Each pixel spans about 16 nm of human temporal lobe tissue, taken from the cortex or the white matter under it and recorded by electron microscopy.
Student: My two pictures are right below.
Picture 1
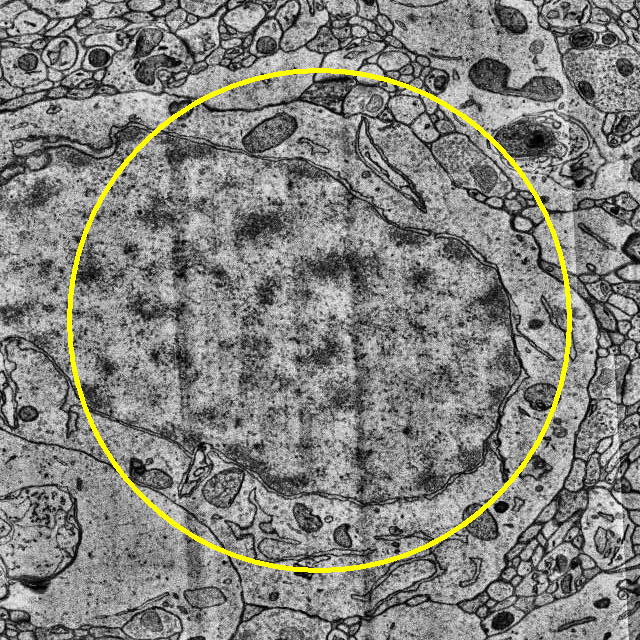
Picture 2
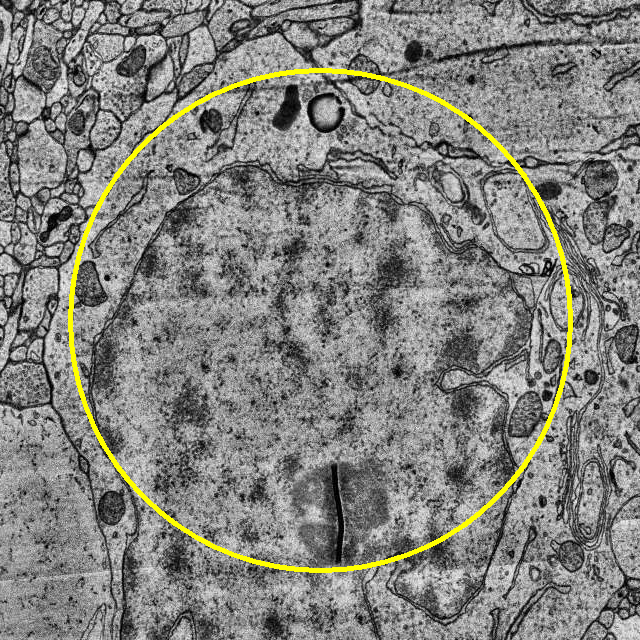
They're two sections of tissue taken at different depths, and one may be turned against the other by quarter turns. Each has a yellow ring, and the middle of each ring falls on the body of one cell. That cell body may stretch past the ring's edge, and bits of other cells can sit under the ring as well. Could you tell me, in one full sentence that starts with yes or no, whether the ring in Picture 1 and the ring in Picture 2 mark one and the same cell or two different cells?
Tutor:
Yes, the two yellow circles hold the same cell.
